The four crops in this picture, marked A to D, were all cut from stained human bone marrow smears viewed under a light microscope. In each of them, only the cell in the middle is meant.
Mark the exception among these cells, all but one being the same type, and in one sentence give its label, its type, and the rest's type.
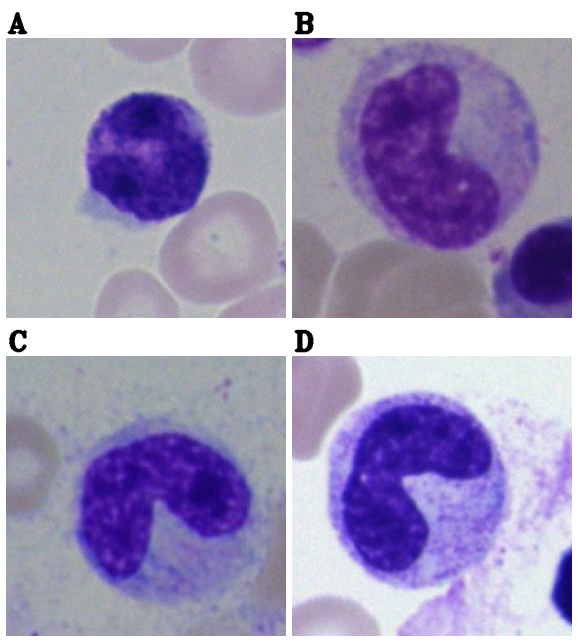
The single exception among the crops is crop A, which is a segmented neutrophil; the rest show band neutrophils.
